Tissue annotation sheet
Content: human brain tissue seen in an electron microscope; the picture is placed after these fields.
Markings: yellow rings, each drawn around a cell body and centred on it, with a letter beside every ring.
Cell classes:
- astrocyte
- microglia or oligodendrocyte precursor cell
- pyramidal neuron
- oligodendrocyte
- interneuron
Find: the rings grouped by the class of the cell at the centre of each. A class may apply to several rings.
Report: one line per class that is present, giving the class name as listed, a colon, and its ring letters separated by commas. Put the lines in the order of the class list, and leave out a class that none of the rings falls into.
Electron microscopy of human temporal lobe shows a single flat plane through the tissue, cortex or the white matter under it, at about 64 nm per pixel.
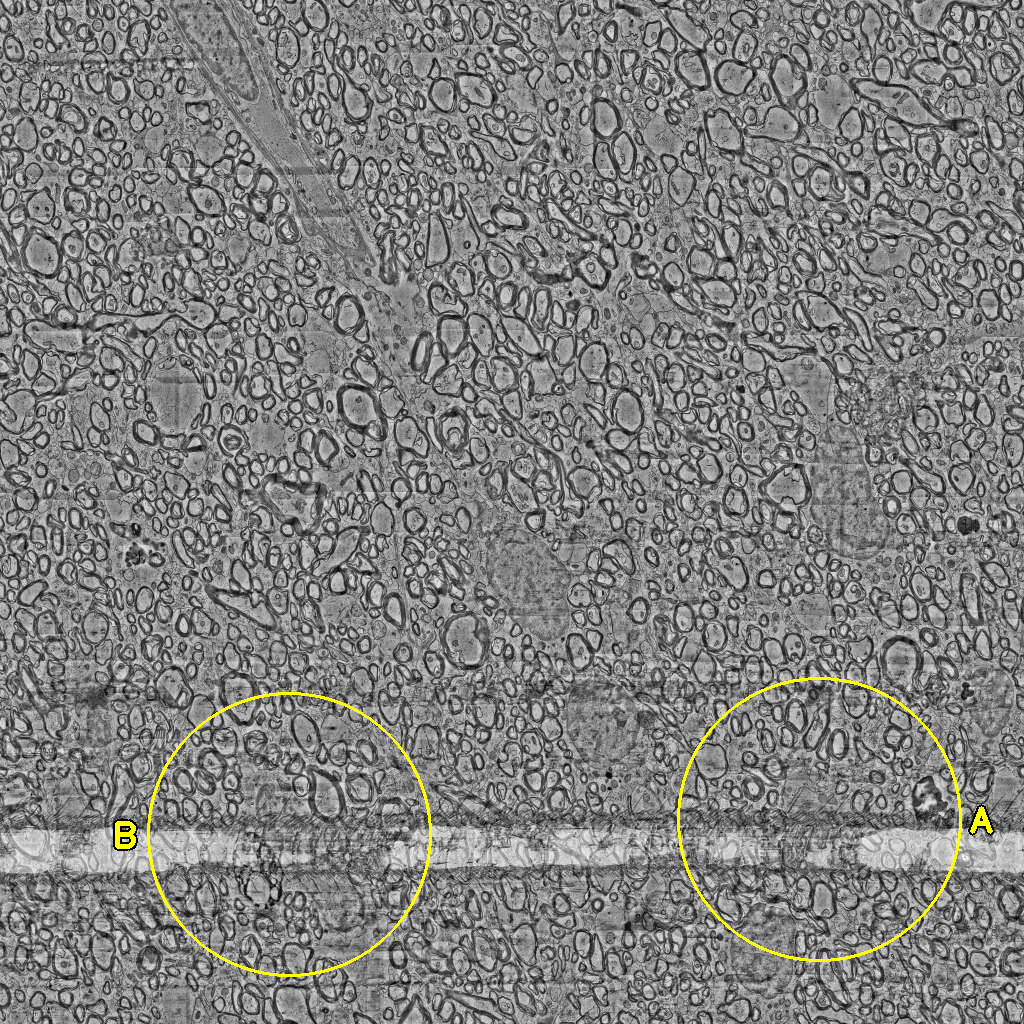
astrocyte: B
oligodendrocyte: A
